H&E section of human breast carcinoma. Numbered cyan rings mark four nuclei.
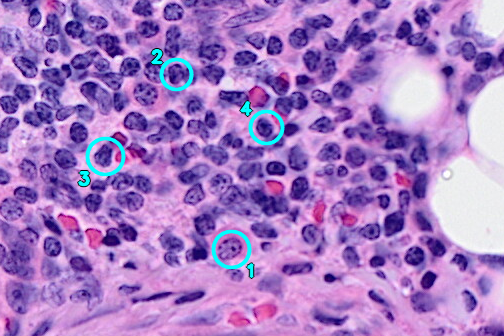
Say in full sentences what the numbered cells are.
Cell 1 is a mast cell, cell 2 is a lymphocyte, cell 3 is a lymphocyte and cell 4 is a lymphocyte.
